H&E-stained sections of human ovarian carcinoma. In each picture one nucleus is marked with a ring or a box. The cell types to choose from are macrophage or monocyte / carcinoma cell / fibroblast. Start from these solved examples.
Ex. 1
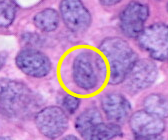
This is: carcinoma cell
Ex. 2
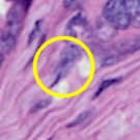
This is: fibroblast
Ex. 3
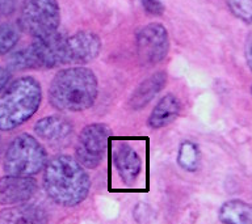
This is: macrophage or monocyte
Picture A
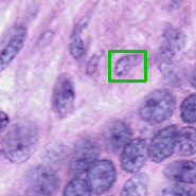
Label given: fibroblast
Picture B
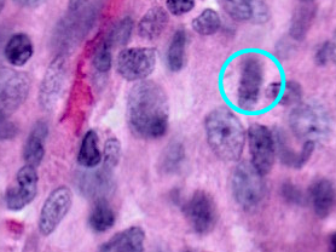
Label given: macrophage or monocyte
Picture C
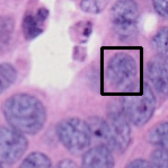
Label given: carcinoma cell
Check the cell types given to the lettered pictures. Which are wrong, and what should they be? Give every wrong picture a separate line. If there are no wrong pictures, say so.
None of the labels needs changing.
